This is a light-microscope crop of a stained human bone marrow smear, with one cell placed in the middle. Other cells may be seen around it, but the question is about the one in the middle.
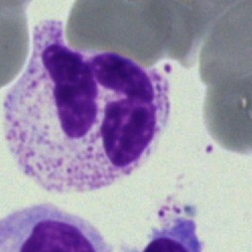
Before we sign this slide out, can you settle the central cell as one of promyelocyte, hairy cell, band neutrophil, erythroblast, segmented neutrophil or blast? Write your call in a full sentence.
The cell at the centre of the field is a segmented neutrophil.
